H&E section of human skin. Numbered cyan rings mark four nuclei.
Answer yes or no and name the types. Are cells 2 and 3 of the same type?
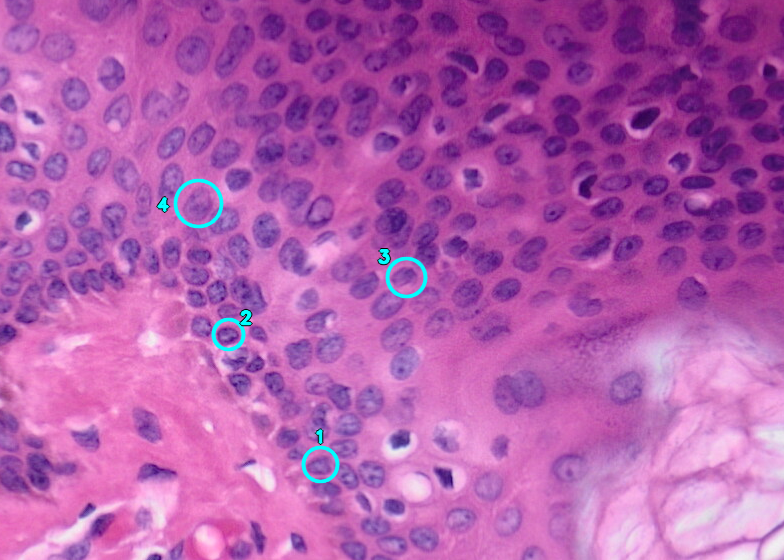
No, the proper labels are a basal keratinocyte for cell 2 and a suprabasal keratinocyte for cell 3.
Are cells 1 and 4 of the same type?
No, cell 1 is a basal keratinocyte, and cell 4, for its part, is a suprabasal keratinocyte.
